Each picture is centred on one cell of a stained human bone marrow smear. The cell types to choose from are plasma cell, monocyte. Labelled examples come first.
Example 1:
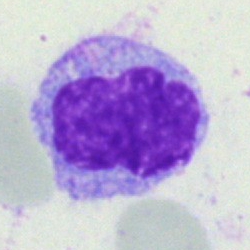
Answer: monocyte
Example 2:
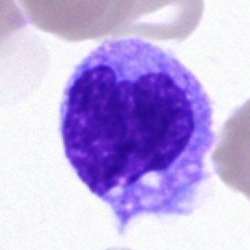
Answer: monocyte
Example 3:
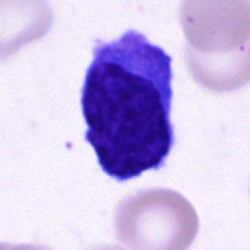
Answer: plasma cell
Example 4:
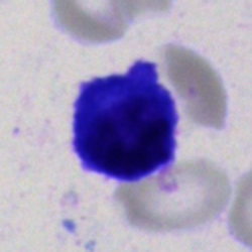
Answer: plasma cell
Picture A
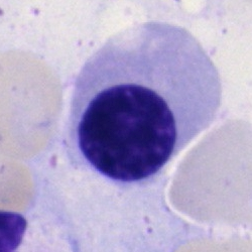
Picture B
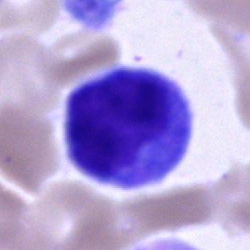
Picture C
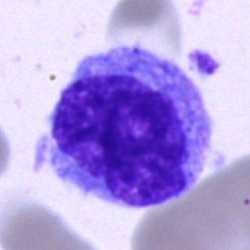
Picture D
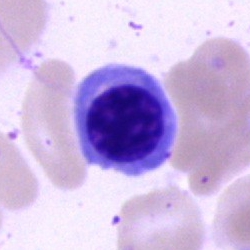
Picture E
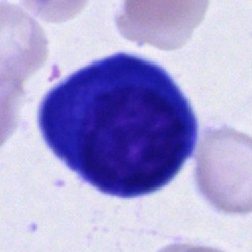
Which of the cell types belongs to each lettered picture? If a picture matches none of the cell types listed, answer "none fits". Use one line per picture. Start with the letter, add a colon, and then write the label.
A: none fits
B: monocyte
C: monocyte
D: none fits
E: plasma cell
